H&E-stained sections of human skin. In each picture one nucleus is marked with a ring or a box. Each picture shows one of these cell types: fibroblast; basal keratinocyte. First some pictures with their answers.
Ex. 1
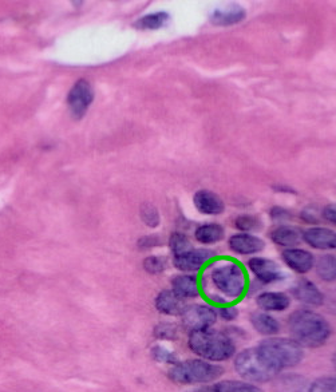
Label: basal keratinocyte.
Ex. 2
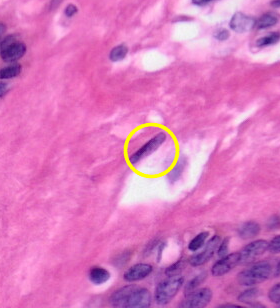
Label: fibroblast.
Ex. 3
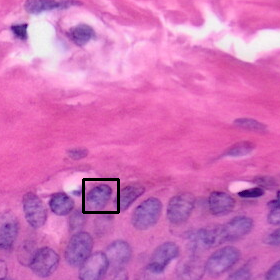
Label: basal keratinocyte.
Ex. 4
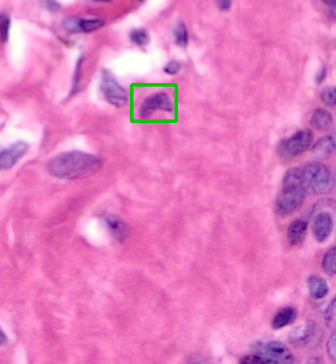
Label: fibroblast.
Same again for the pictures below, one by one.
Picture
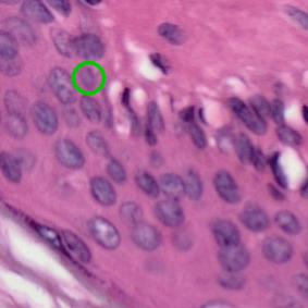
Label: basal keratinocyte.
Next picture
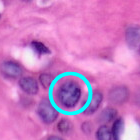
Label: basal keratinocyte.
